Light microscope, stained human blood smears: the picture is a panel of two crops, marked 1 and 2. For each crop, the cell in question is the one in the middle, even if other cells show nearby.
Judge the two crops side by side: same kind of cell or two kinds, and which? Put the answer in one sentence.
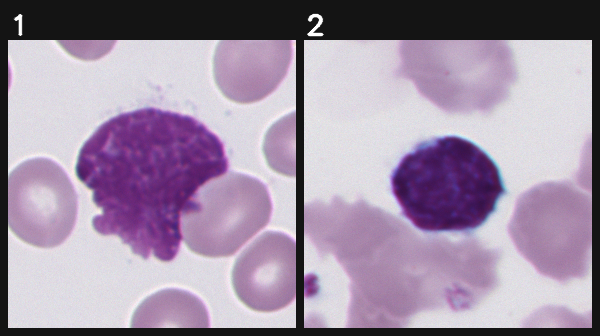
No, the assignment should read crop 1, a smudge cell; crop 2, a typical lymphocyte.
